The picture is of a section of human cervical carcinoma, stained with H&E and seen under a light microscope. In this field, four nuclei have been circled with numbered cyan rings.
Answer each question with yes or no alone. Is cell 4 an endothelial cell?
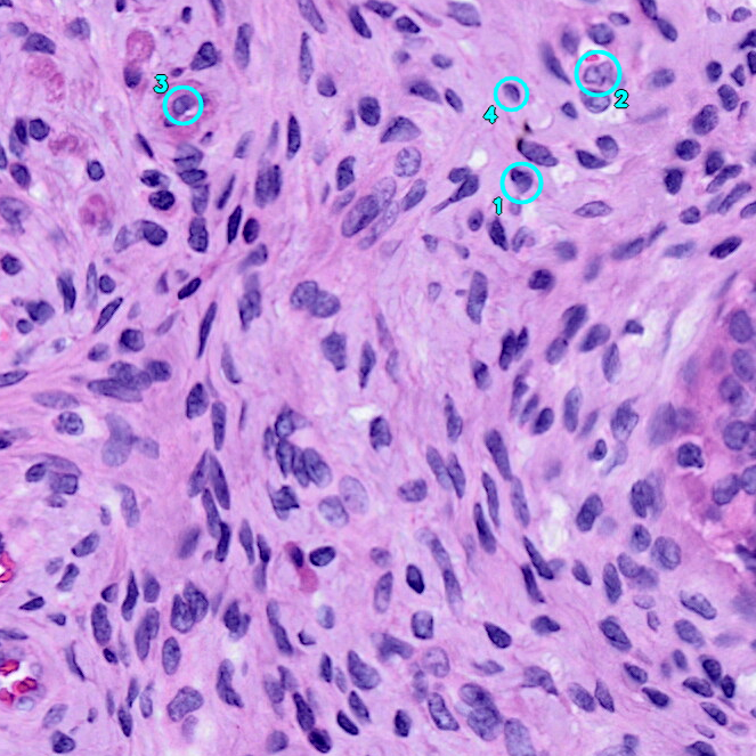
no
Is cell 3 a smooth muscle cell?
yes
